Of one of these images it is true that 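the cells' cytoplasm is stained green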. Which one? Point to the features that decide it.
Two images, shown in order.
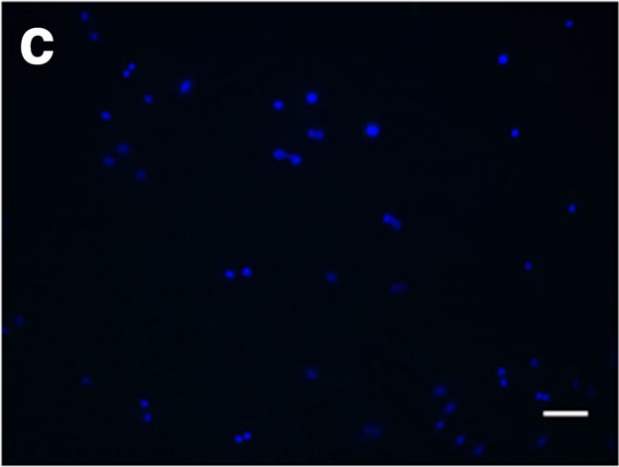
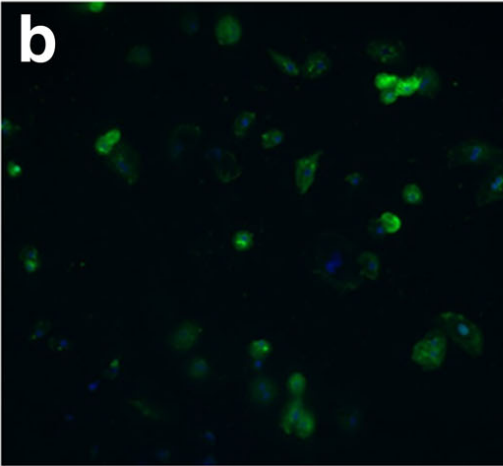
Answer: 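First image: only blue nuclei on a dark background, no green. Second image: many cells with green cytoplasm around blue nuclei. That points to this answer: the second image.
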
